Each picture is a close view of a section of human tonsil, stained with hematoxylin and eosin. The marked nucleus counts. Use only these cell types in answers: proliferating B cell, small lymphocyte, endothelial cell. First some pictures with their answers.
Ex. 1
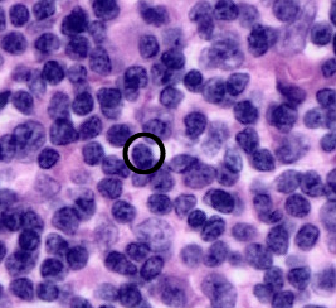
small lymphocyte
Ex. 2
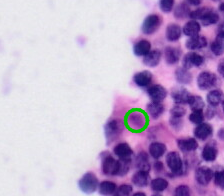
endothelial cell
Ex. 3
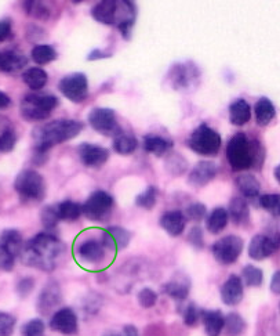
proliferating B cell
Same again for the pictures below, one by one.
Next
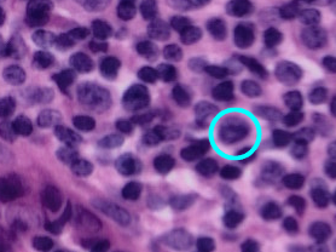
proliferating B cell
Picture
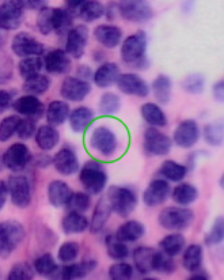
small lymphocyte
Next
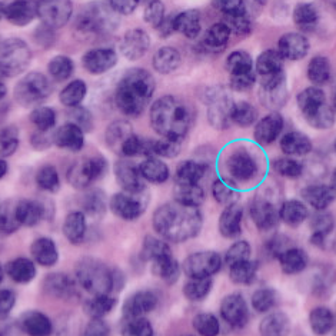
proliferating B cell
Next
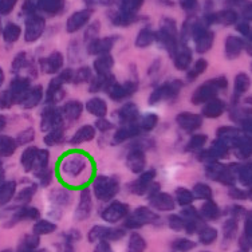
endothelial cell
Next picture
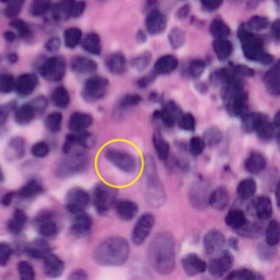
endothelial cell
